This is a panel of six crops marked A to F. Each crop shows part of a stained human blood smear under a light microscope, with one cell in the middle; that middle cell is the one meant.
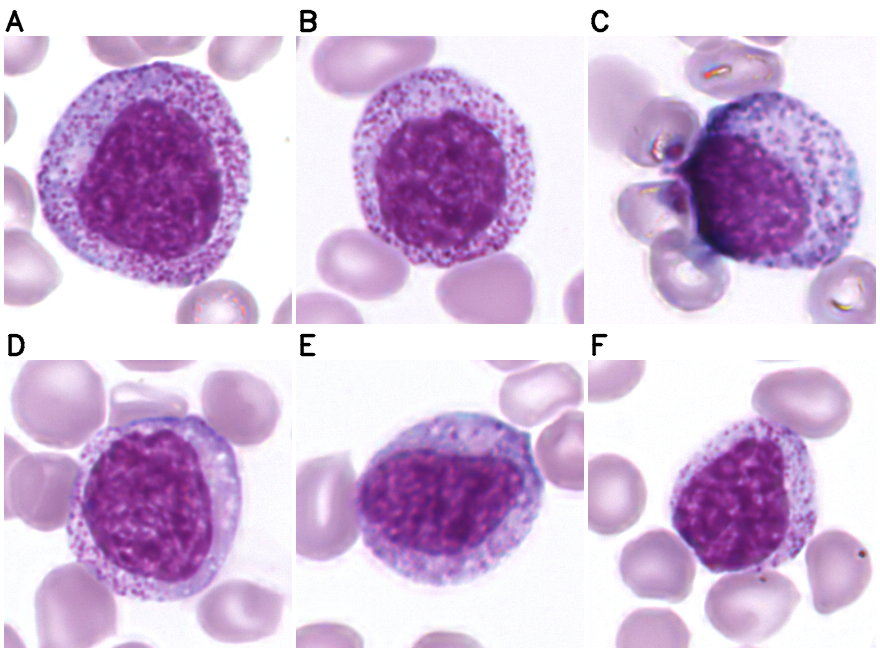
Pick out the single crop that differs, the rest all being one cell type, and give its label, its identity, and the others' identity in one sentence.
Shown in crop F is a metamyelocyte, in contrast to the myelocytes of all the other crops.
